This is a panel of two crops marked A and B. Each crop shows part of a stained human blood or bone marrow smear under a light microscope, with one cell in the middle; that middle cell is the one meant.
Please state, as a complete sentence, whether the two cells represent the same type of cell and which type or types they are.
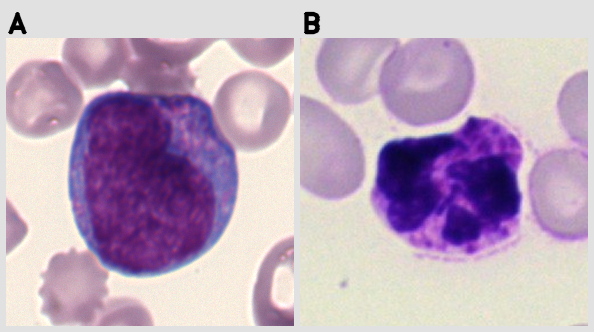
No, a basophil is depicted in crop B, whereas a promyelocyte is depicted in crop A.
